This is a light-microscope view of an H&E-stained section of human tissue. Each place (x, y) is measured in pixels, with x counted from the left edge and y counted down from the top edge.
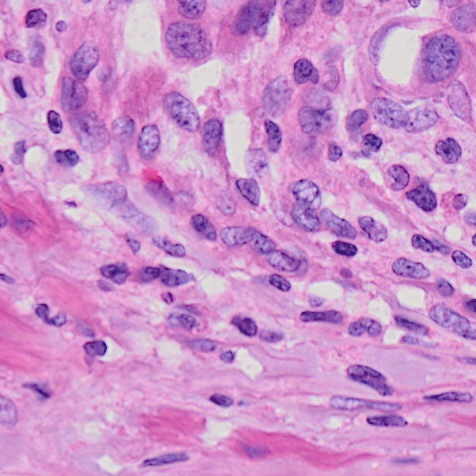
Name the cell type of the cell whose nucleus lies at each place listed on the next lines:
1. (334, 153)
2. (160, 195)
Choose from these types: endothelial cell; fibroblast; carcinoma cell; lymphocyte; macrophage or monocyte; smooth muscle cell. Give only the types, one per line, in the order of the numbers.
lymphocyte
endothelial cell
